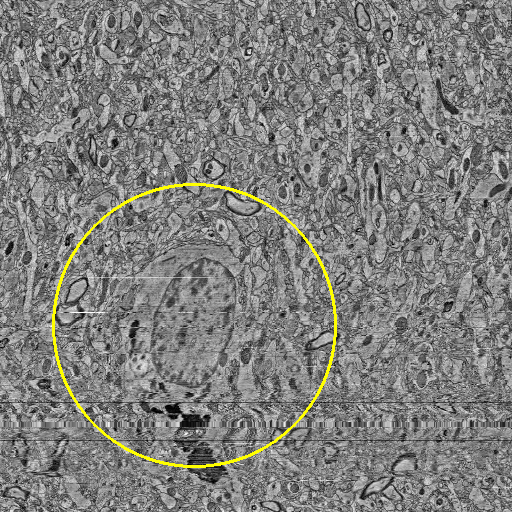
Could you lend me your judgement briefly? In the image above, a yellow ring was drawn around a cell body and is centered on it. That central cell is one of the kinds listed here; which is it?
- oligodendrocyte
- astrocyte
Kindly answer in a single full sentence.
Going by the list, an astrocyte is the kind at the ring's center in the picture.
